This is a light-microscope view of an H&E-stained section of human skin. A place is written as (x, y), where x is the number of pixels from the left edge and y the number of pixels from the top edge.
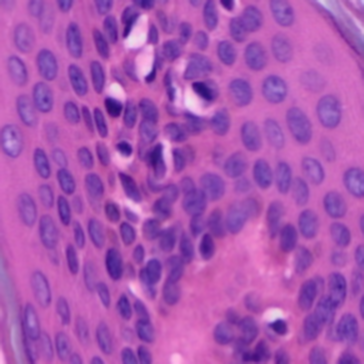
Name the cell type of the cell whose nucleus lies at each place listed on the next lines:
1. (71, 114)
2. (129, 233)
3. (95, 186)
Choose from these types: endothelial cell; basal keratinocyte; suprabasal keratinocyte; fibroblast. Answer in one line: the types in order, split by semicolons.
suprabasal keratinocyte; basal keratinocyte; basal keratinocyte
